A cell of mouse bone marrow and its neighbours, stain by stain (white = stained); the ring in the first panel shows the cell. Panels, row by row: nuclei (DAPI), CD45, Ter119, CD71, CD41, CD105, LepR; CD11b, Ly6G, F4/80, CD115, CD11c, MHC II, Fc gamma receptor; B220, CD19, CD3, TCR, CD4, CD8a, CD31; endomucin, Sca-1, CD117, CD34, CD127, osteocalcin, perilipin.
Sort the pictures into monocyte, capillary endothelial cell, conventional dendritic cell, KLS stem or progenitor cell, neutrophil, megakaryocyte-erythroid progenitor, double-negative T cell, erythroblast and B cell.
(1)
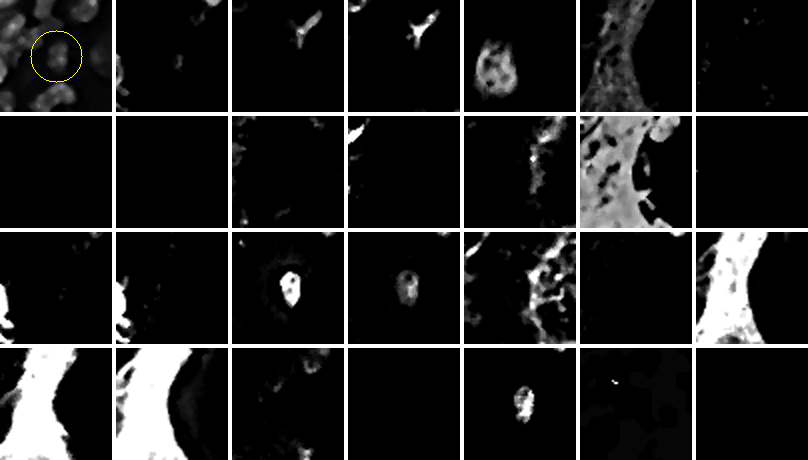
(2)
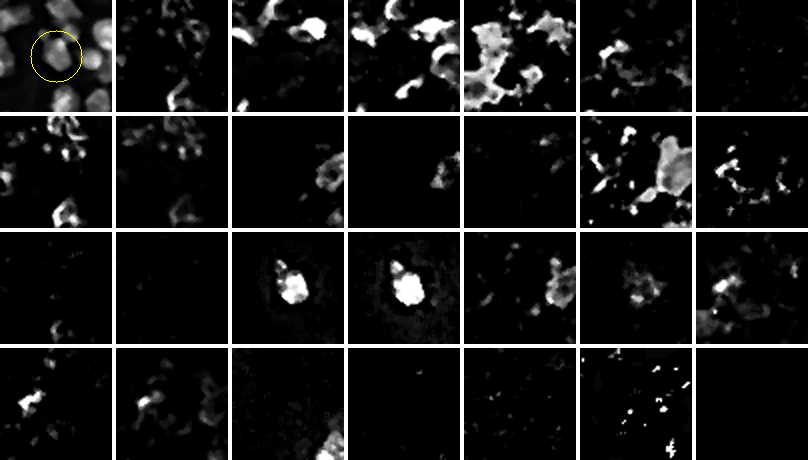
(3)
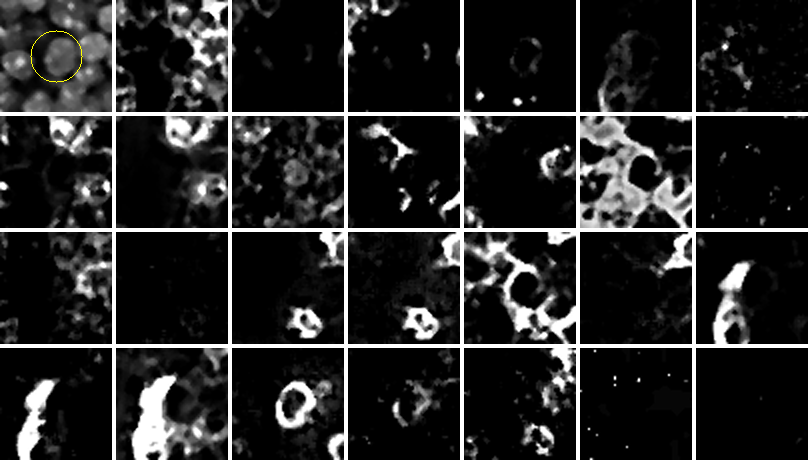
Capillary endothelial cells: 1
Double-negative T cells: 2
KLS stem or progenitor cells: 3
